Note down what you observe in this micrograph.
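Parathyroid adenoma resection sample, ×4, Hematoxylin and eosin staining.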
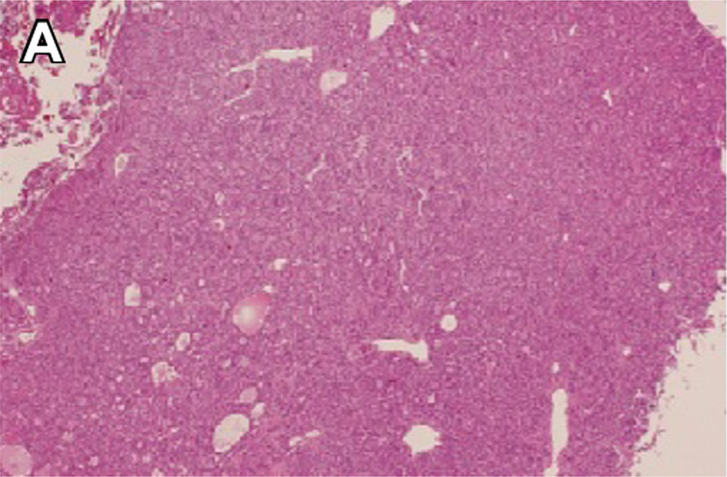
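No fat cells are interspersed, and no rim of normal gland is visible. Scattered small round to elongated clear spaces and thin vessels, some holding pale pink material, break up the sheet. The cellular sheet looks even throughout, without nodules of differing texture.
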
